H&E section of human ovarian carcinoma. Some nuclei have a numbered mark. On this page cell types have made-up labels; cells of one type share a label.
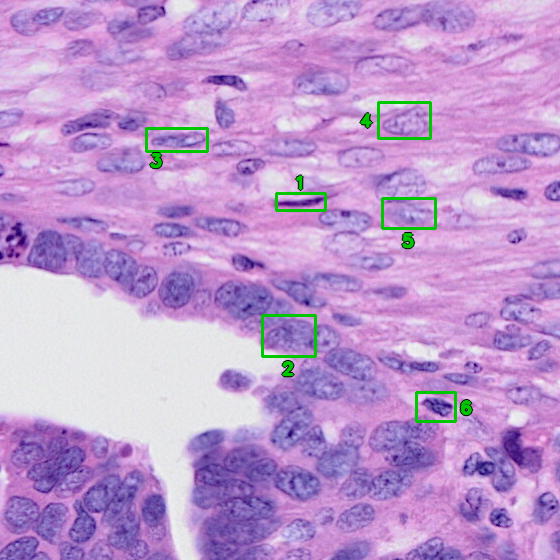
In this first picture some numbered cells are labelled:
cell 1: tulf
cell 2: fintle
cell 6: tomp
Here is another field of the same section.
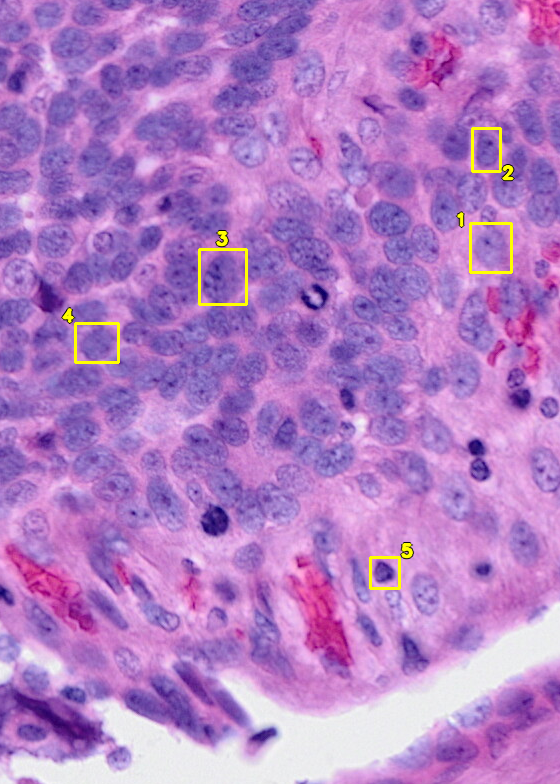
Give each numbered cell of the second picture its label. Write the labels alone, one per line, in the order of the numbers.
tulf
fintle
fintle
fintle
tomp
